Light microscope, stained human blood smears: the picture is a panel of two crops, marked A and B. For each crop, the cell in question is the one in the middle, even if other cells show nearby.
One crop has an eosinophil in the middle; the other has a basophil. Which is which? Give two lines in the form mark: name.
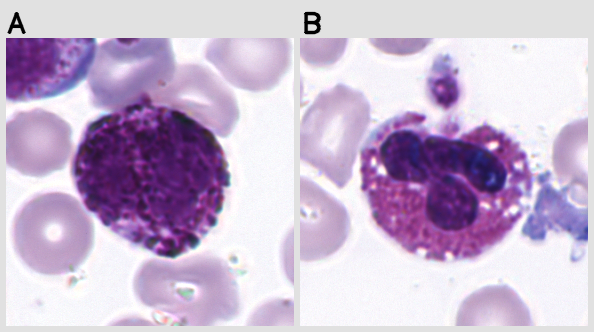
A: basophil
B: eosinophil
